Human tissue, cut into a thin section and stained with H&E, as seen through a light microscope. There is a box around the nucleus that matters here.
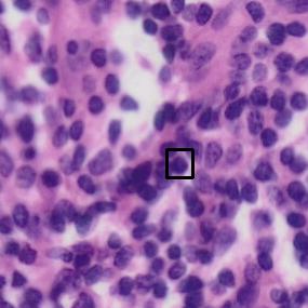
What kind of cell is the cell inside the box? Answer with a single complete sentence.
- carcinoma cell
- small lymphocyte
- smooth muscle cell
Recorded by type, the cell inside the box is a small lymphocyte.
